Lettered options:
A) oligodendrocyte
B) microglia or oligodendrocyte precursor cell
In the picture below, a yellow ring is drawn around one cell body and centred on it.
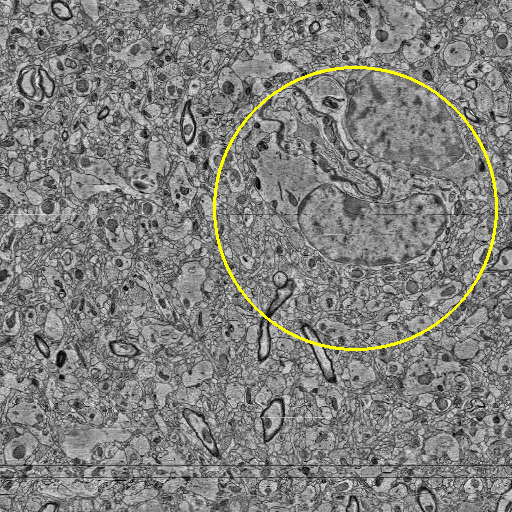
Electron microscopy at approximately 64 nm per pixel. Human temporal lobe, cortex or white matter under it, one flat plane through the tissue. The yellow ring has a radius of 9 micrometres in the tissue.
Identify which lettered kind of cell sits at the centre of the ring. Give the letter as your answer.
B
